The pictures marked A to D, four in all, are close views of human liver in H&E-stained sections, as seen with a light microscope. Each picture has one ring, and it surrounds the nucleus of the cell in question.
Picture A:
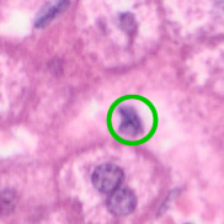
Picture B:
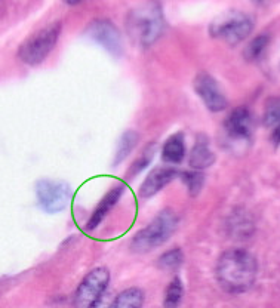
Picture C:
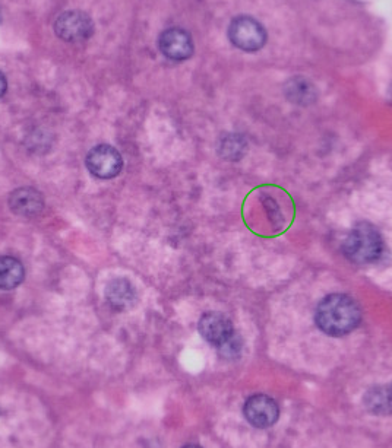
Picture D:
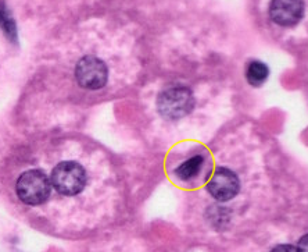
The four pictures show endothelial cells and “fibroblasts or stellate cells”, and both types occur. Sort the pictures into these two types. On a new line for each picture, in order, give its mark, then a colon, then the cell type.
A: endothelial cell
B: fibroblast or stellate cell
C: endothelial cell
D: fibroblast or stellate cell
